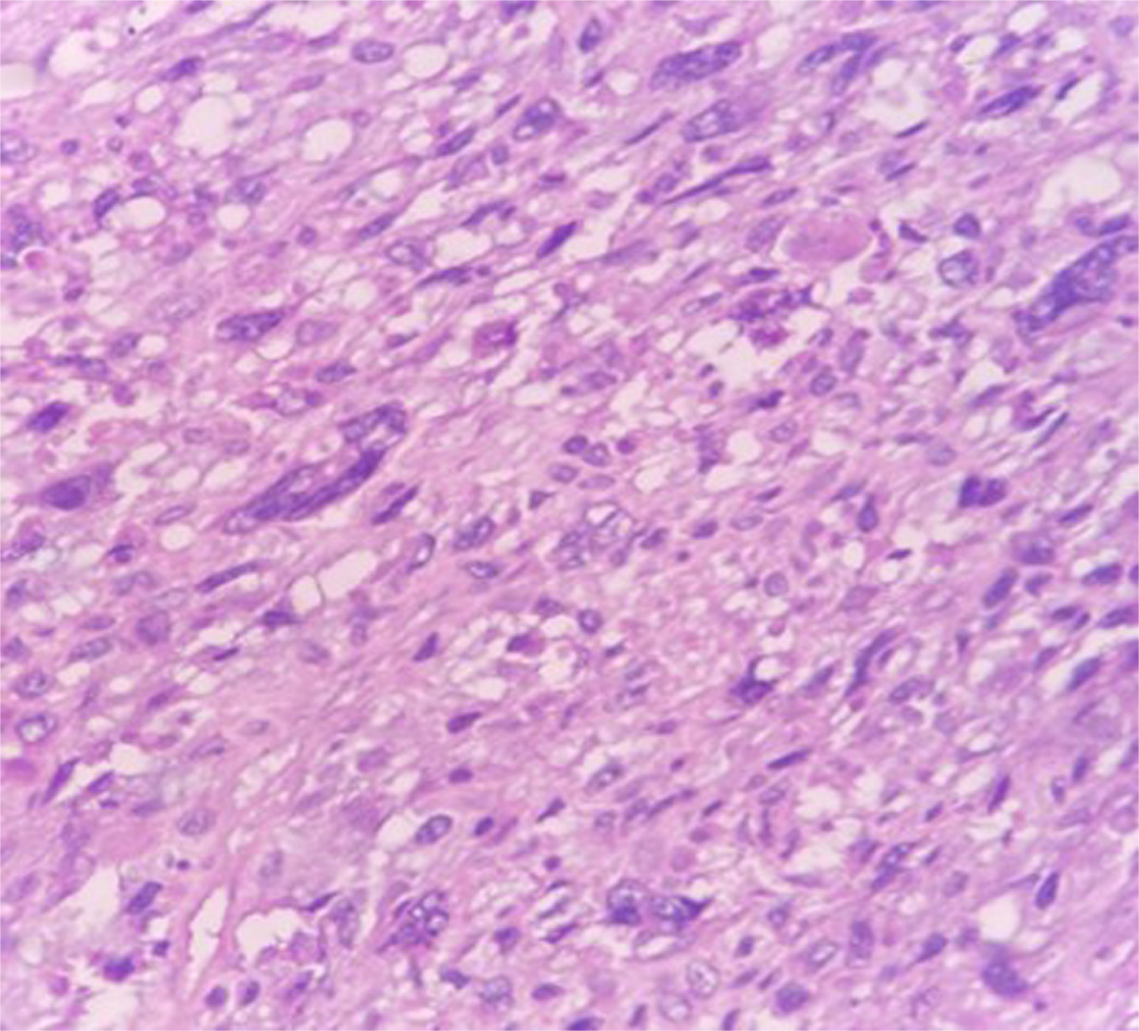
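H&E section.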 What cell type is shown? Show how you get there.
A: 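Many cells and nuclei are elongated and run in one direction, others are rounder and angular.
Hence: polygonal to spindle tumor cells.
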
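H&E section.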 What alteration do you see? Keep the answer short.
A: marked pleomorphism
